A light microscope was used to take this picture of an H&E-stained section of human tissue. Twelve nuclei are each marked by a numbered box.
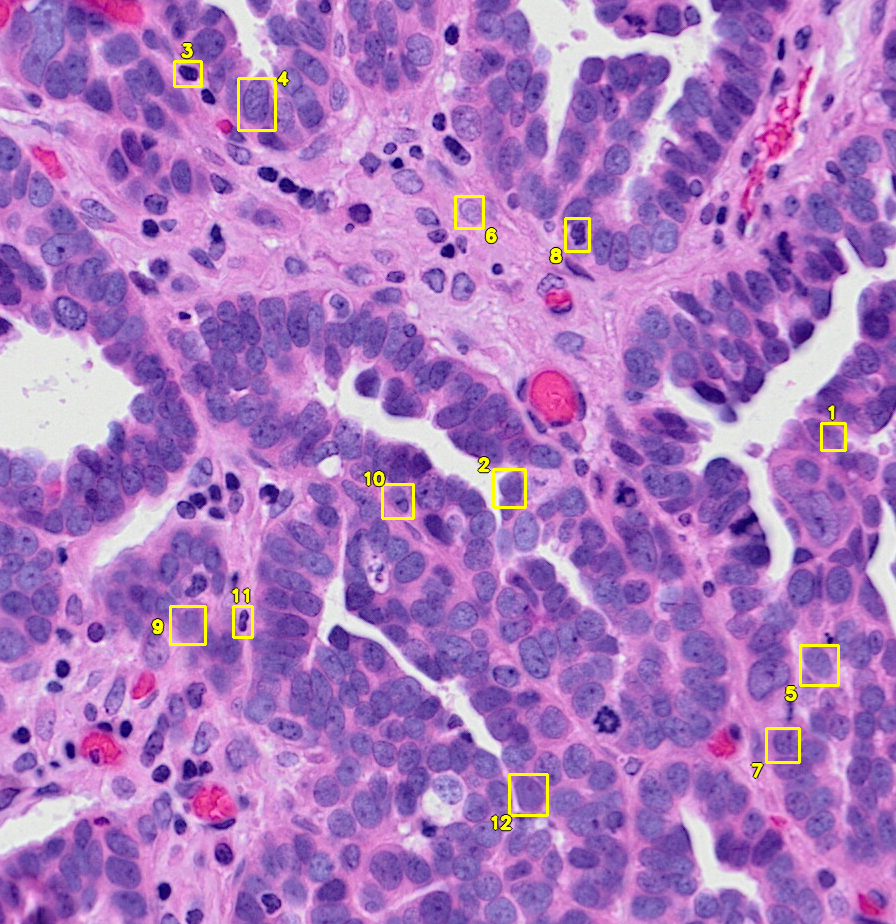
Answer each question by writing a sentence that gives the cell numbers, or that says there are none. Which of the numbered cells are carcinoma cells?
The cells tagged with numbers 1, 2, 4, 5, 7, 9 and 12 are carcinoma cells.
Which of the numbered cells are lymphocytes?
In this section, the cells labelled 3, 8 and 11 are lymphocytes.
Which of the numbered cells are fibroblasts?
Nothing but cell 6 is a fibroblast among the numbered ones.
